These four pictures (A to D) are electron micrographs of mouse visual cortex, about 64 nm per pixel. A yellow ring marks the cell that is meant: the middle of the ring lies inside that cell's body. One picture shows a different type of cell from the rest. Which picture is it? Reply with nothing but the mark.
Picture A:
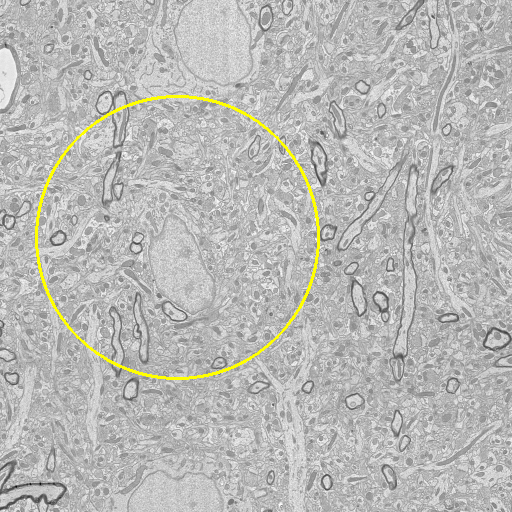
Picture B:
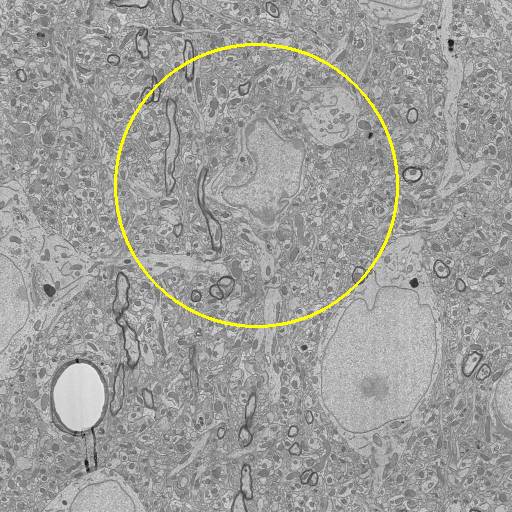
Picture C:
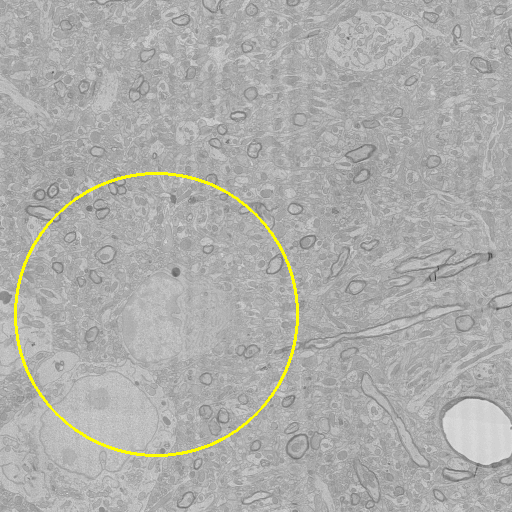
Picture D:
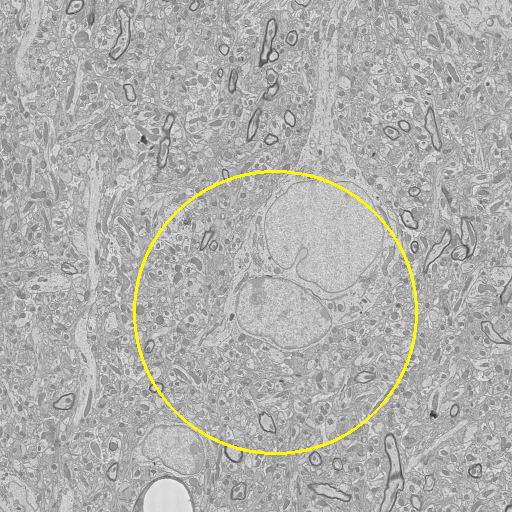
C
